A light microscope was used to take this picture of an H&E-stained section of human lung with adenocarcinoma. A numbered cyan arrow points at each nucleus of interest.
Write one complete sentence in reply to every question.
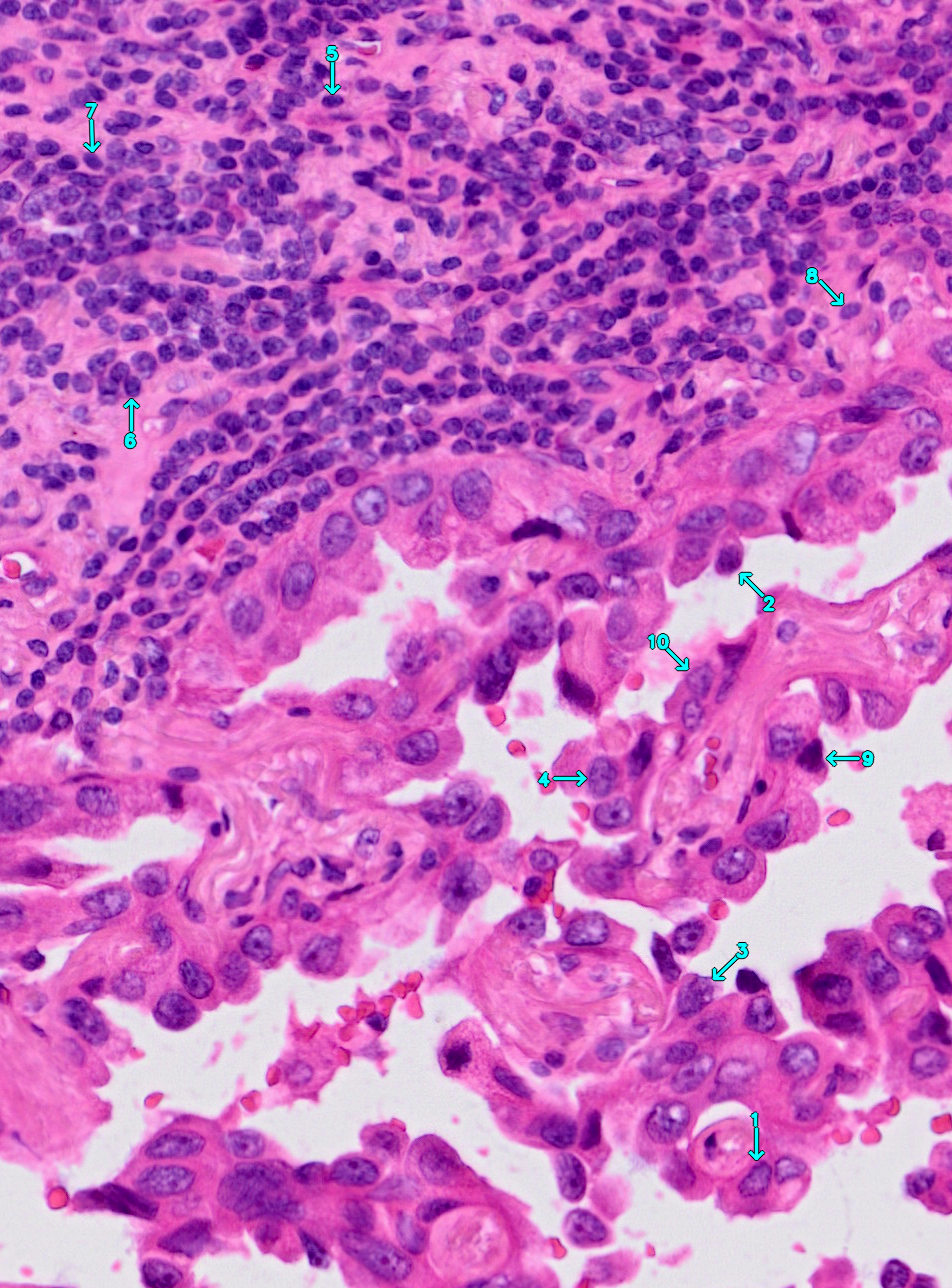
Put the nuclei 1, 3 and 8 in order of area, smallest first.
From smallest to largest, the order is 8, 1, 3.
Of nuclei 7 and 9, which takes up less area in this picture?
With nucleus 9 about 3 times its size, nucleus 7 is the smaller of the two.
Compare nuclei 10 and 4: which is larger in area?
Nucleus 4 is the larger one, covering about 1.5 times the area of nucleus 10.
